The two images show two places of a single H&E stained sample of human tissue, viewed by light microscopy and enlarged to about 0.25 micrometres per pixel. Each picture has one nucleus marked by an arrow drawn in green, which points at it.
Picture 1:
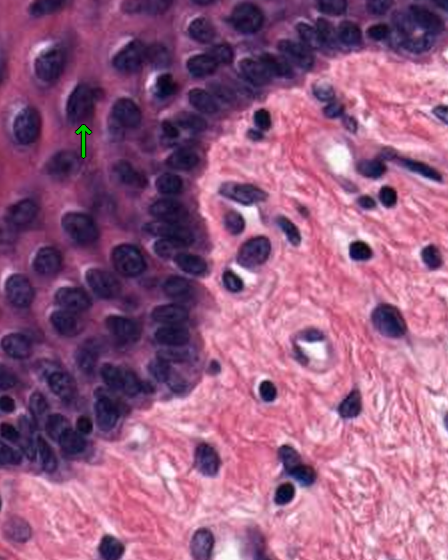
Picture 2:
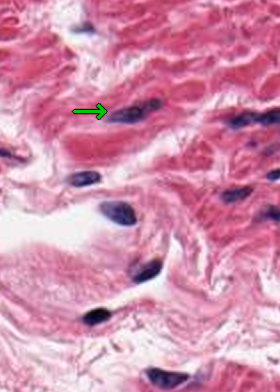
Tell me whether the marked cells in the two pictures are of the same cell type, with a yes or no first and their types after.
No, the first is a squamous epithelial cell and the second a smooth muscle cell.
